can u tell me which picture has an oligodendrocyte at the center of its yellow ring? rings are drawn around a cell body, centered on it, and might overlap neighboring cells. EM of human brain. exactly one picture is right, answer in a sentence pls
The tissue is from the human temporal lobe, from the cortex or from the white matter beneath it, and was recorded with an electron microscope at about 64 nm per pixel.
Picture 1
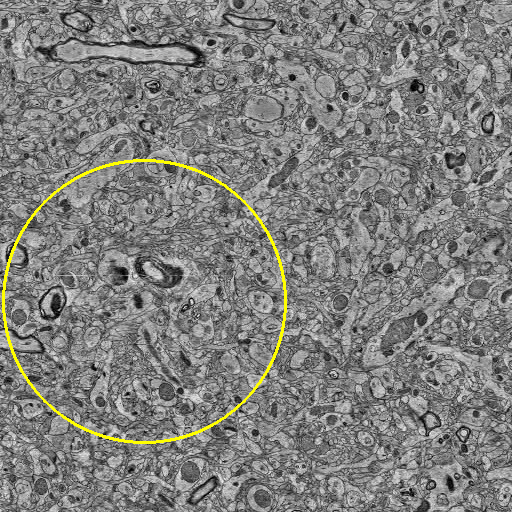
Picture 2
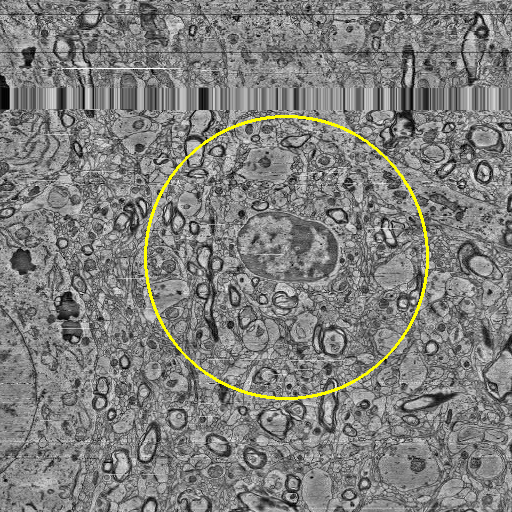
Picture 1 is the one.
